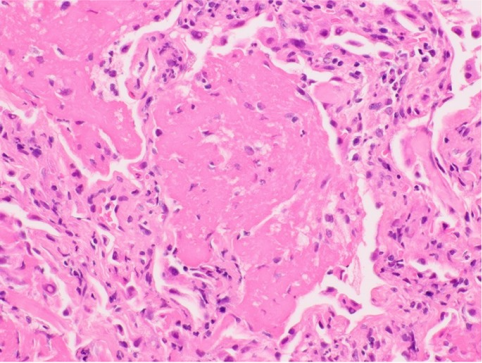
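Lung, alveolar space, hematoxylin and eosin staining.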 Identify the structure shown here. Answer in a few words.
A: fibrin matrix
